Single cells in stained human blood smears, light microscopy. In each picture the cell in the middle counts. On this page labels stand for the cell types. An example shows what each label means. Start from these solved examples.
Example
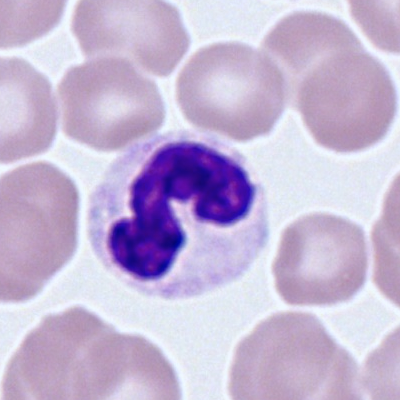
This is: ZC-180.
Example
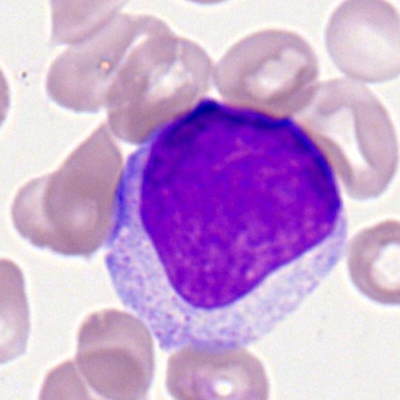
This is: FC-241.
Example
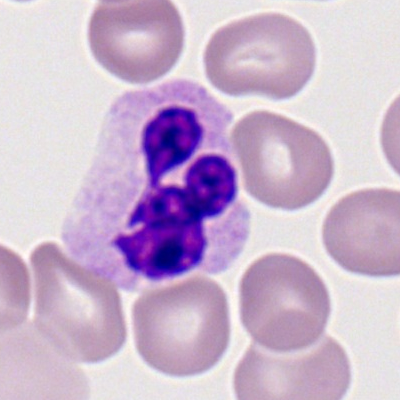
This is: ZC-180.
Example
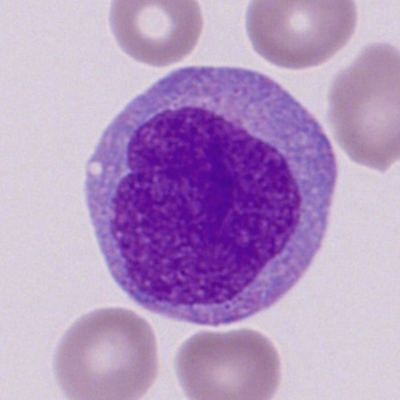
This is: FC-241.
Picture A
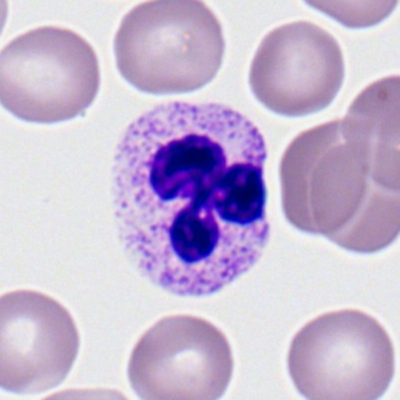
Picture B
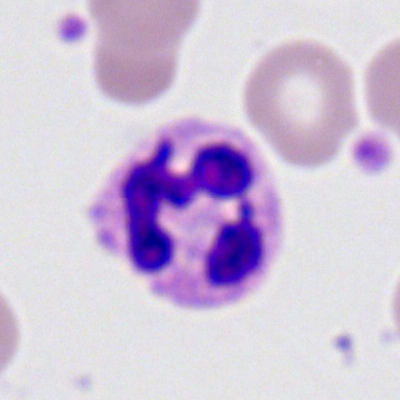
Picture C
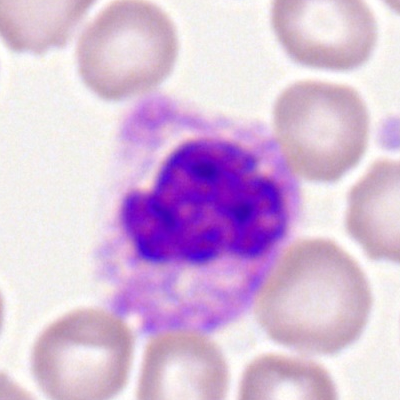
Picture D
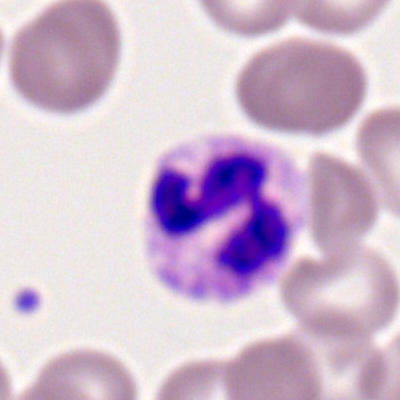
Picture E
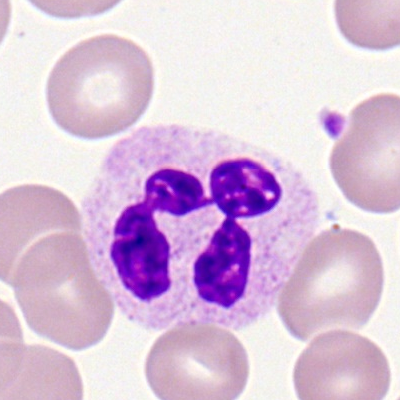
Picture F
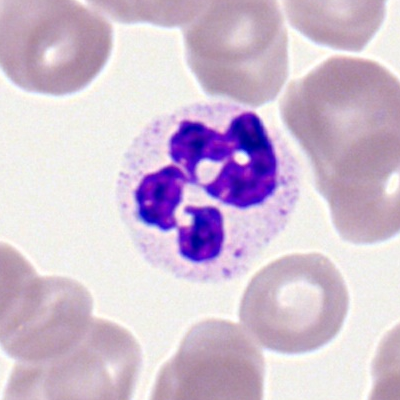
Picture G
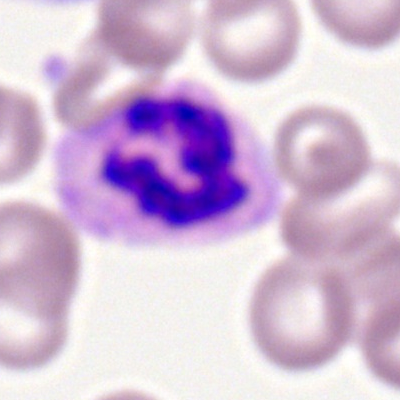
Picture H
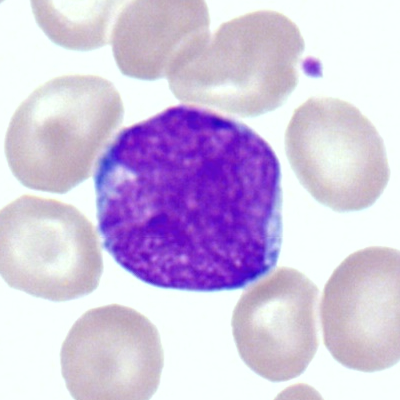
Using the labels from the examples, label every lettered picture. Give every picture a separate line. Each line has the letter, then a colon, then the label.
A: ZC-180.
B: ZC-180.
C: ZC-180.
D: ZC-180.
E: ZC-180.
F: ZC-180.
G: ZC-180.
H: FC-241.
